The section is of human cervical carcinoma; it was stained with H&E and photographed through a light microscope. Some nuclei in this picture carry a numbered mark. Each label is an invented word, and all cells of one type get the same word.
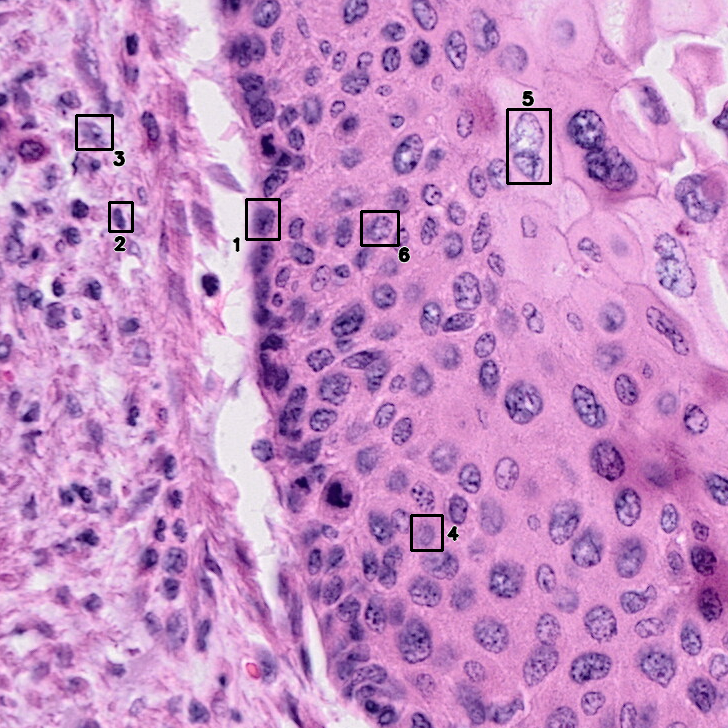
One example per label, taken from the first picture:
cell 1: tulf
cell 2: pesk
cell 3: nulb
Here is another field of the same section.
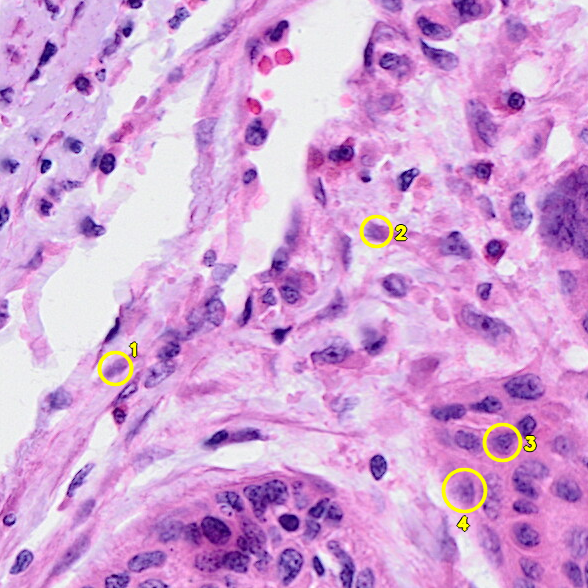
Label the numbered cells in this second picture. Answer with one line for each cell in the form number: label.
1: nulb
2: nulb
3: tulf
4: tulf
